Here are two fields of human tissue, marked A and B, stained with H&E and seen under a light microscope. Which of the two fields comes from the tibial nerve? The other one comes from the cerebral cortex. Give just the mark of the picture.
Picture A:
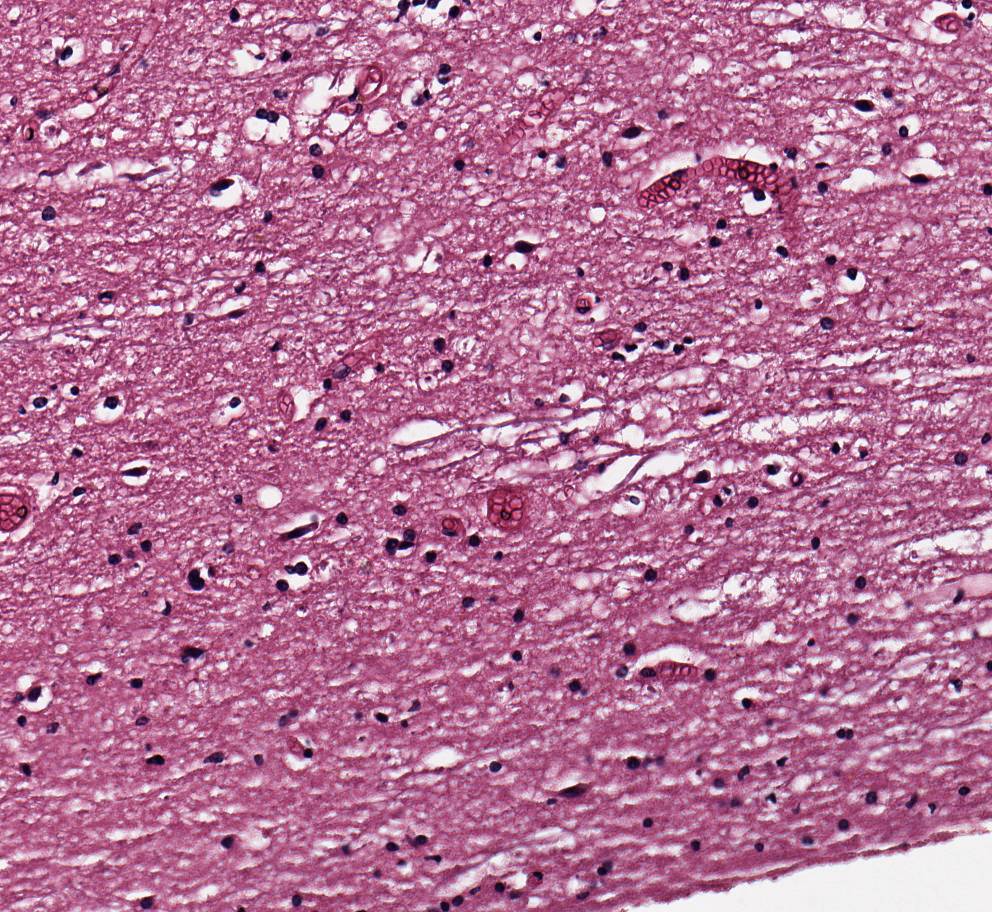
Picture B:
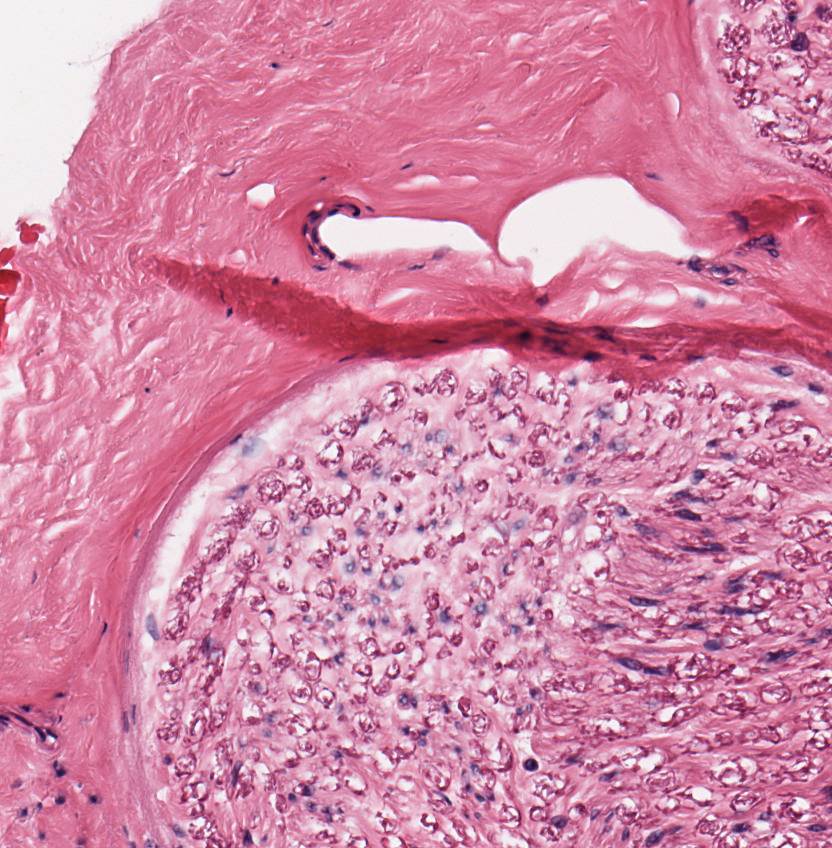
B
